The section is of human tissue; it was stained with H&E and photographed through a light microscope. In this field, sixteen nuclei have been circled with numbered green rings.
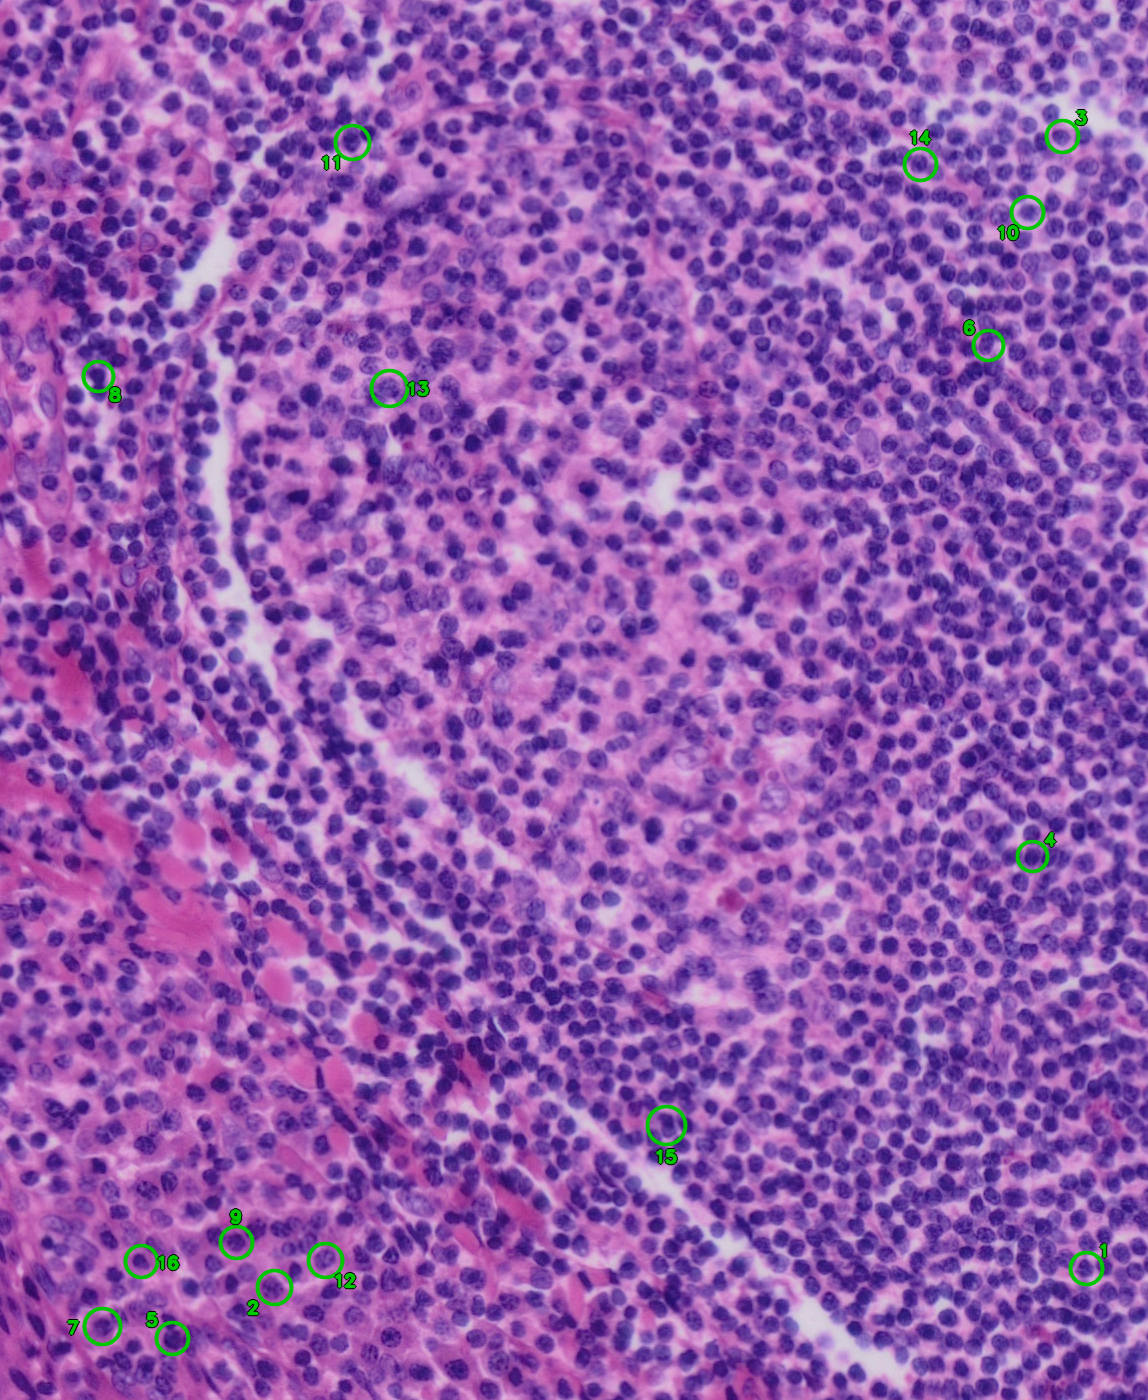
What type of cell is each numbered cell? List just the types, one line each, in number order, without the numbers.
small lymphocyte
plasma cell
small lymphocyte
small lymphocyte
plasma cell
small lymphocyte
plasma cell
small lymphocyte
plasma cell
small lymphocyte
small lymphocyte
plasma cell
proliferating B cell
small lymphocyte
small lymphocyte
plasma cell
